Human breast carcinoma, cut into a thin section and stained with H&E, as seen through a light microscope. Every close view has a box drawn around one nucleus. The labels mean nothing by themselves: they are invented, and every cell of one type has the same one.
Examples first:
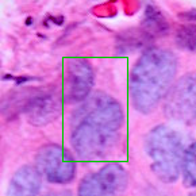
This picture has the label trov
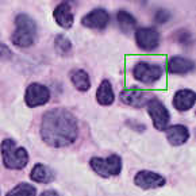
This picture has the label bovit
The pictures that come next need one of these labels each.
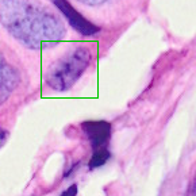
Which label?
trov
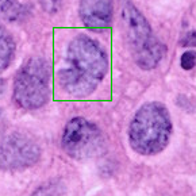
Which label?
trov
